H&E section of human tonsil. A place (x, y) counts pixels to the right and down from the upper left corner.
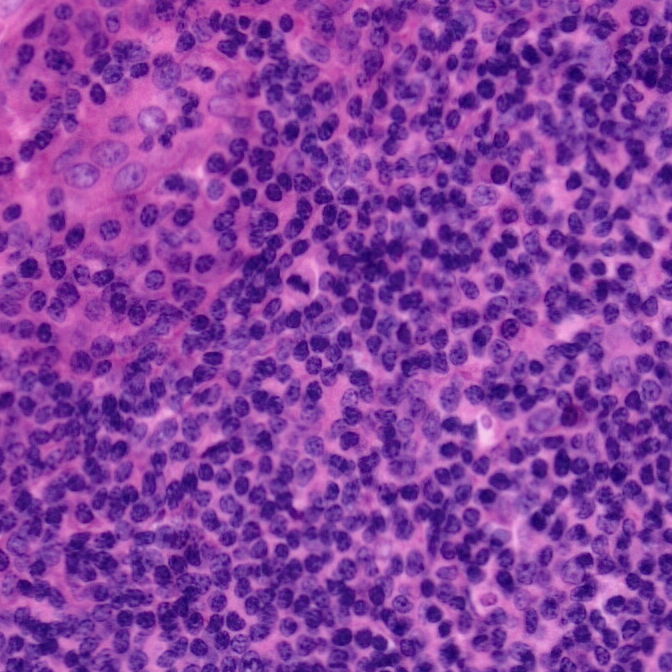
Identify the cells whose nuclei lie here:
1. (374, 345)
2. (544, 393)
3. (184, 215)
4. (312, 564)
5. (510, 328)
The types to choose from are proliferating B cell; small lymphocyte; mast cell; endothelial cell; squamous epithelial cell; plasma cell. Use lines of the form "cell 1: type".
cell 1: small lymphocyte
cell 2: small lymphocyte
cell 3: plasma cell
cell 4: small lymphocyte
cell 5: plasma cell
